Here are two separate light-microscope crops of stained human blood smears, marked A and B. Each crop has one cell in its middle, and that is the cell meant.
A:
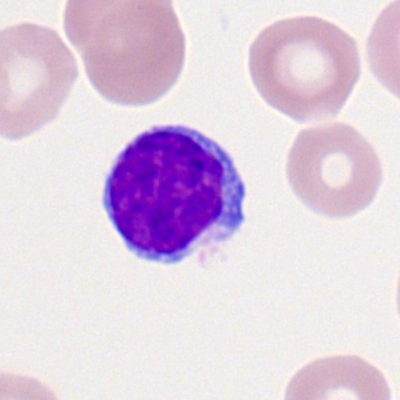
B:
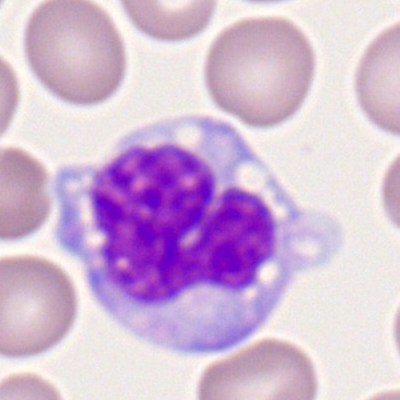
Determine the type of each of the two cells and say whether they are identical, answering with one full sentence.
No, crop A captures a lymphocyte, and crop B captures a monocyte.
